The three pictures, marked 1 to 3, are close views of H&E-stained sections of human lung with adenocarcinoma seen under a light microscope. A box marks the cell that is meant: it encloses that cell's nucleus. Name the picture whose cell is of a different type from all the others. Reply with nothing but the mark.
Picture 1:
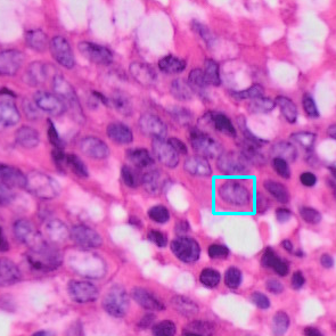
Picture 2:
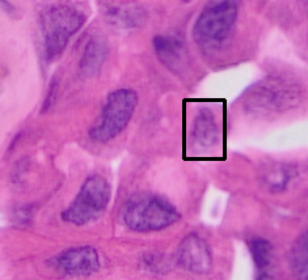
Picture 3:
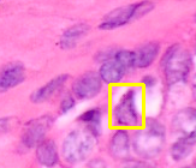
2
